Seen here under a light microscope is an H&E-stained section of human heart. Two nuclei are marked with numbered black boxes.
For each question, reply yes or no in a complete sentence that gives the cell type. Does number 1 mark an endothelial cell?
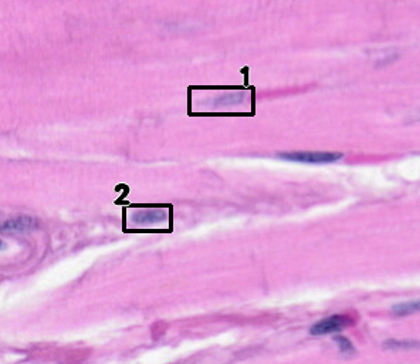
Yes, cell number 1 in this section is an endothelial cell.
